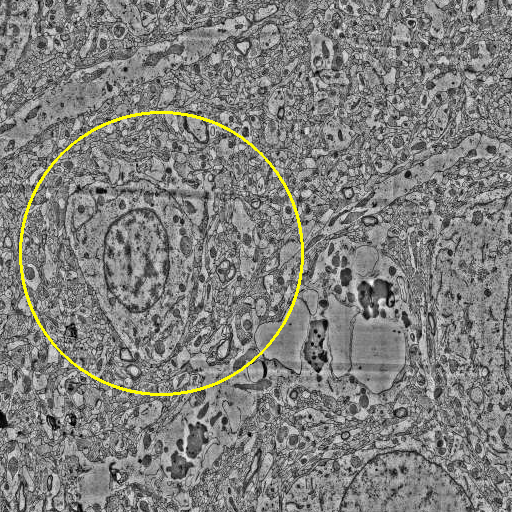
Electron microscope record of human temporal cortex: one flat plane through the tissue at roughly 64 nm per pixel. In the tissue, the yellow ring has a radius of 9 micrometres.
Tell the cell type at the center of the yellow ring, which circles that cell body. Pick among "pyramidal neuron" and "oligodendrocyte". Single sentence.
The ring is centered on the body of a pyramidal neuron.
